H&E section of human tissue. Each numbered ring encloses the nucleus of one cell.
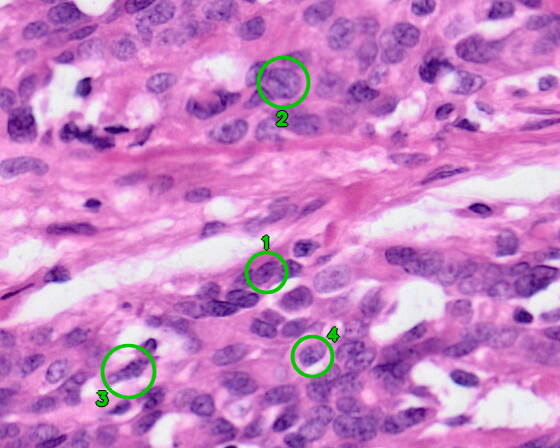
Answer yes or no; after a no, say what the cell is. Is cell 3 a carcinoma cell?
No, it is a macrophage or monocyte.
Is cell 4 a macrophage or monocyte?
Yes.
